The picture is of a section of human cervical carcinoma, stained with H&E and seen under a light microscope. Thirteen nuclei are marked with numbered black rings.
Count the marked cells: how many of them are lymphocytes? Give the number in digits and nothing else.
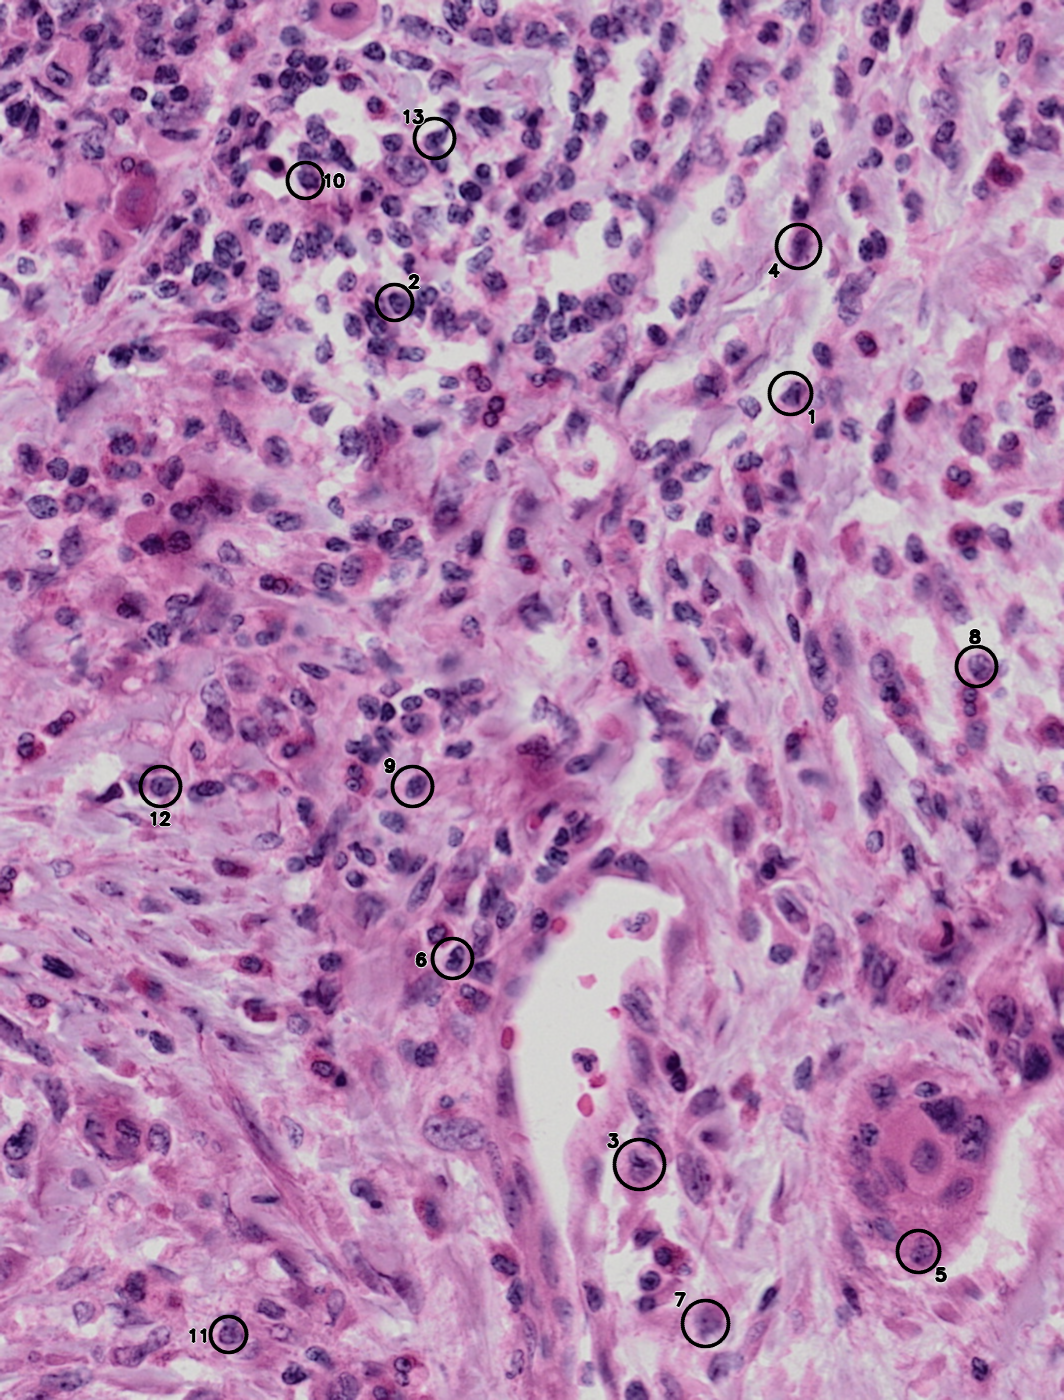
7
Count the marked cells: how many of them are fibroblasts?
1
